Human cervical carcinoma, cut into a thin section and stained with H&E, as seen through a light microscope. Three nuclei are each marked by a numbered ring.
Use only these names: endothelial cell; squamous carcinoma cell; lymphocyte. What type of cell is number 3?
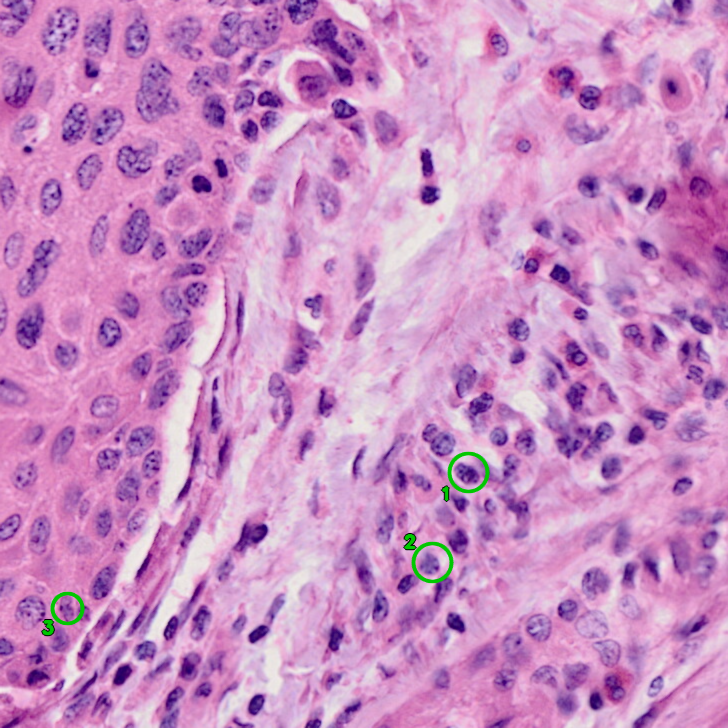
squamous carcinoma cell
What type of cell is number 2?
lymphocyte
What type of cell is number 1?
lymphocyte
